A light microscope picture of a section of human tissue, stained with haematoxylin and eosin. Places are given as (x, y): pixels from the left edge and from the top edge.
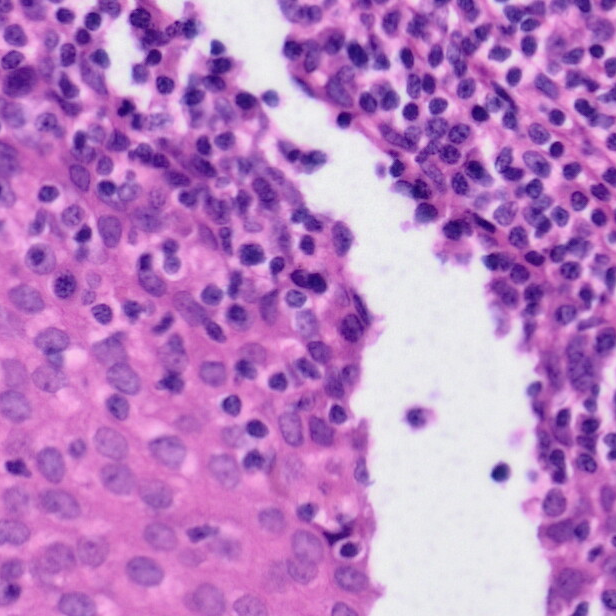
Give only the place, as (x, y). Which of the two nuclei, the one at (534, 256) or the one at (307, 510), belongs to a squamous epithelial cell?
(307, 510)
